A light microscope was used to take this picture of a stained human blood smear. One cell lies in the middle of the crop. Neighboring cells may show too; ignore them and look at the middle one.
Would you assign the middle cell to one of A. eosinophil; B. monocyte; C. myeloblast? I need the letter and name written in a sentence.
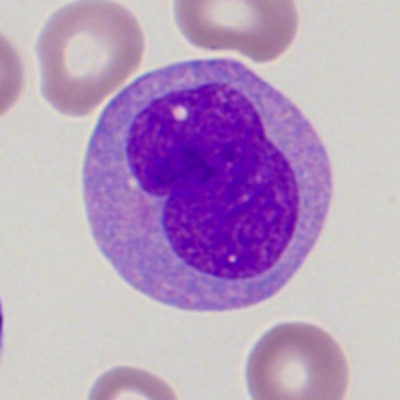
Option C, which names the central cell as a myeloblast, is correct.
